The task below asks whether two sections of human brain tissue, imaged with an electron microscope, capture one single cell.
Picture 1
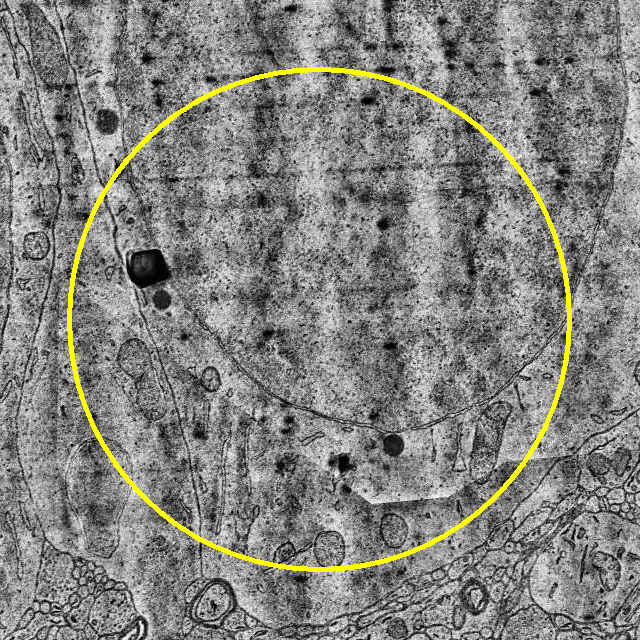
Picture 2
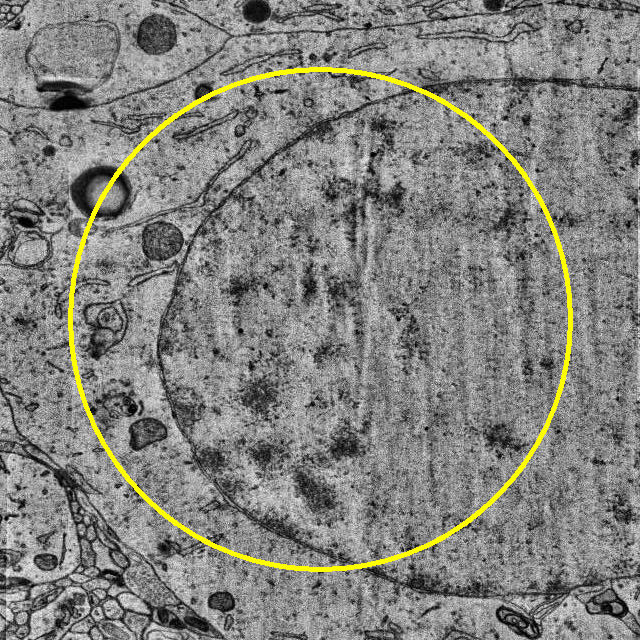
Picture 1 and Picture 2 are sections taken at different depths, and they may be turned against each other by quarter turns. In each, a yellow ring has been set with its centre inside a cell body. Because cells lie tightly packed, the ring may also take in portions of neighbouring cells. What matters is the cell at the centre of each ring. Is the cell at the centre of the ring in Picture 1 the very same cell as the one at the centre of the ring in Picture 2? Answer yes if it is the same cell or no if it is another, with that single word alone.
yes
